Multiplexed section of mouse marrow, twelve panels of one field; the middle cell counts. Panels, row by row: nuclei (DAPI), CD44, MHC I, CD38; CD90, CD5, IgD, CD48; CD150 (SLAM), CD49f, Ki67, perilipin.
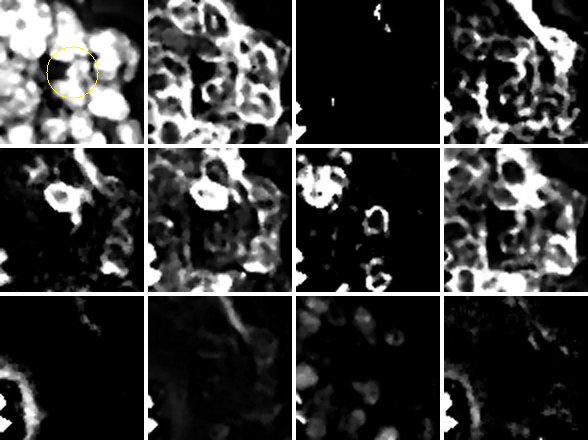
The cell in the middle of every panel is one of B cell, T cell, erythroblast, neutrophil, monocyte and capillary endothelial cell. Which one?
B cell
